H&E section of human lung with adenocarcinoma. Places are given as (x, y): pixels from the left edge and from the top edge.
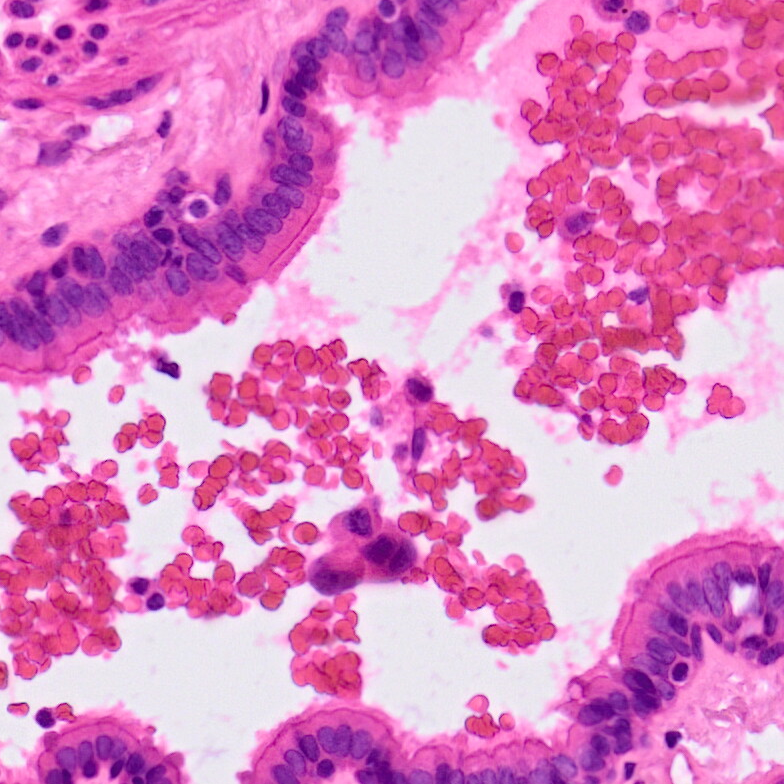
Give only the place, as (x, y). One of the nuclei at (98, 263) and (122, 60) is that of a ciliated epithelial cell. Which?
(98, 263)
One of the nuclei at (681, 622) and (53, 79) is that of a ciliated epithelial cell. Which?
(681, 622)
